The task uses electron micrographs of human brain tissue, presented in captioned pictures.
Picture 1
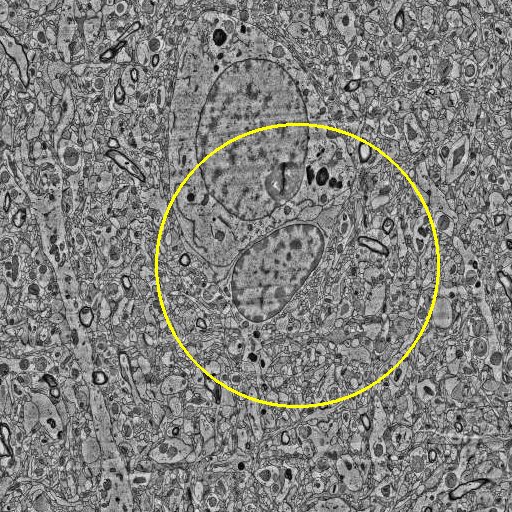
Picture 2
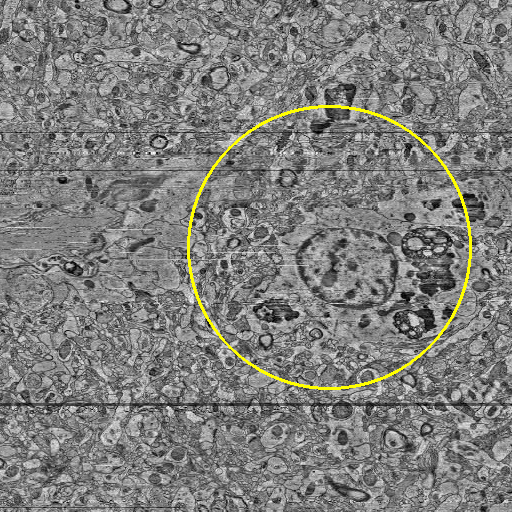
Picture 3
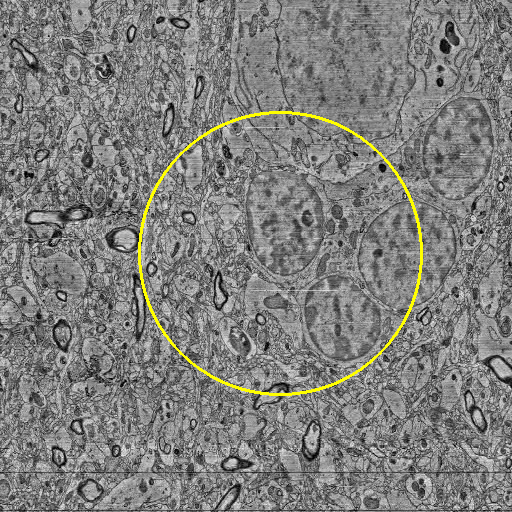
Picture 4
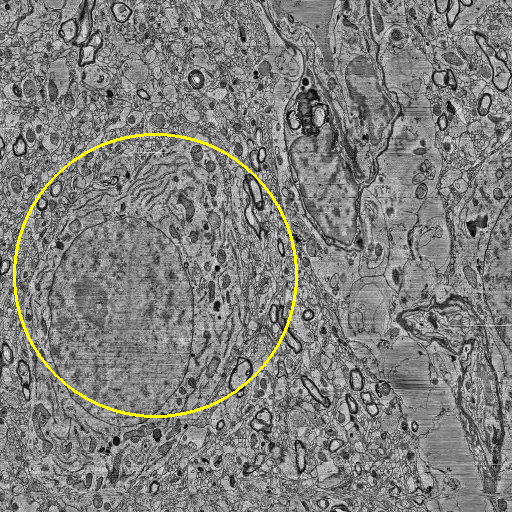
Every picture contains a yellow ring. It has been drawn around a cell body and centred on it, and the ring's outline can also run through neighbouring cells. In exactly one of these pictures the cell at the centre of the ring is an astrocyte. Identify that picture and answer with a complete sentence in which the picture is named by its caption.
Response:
The ring in Picture 2 is centred on that kind of cell.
